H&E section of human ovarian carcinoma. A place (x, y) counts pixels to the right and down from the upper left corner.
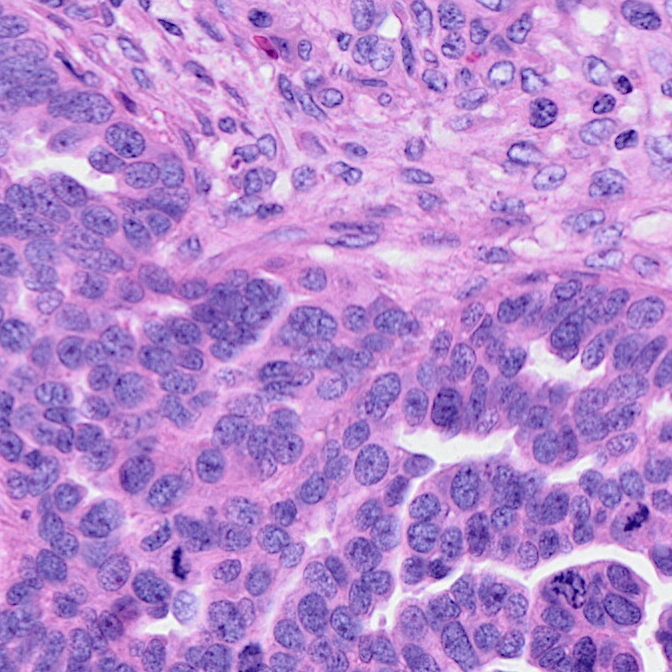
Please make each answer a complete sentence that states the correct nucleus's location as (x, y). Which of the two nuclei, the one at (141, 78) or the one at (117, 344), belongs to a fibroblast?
The nucleus whose position is (141, 78) belongs to a fibroblast.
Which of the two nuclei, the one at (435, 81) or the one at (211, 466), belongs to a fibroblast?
Here the nucleus at (435, 81) is the one that belongs to a fibroblast.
